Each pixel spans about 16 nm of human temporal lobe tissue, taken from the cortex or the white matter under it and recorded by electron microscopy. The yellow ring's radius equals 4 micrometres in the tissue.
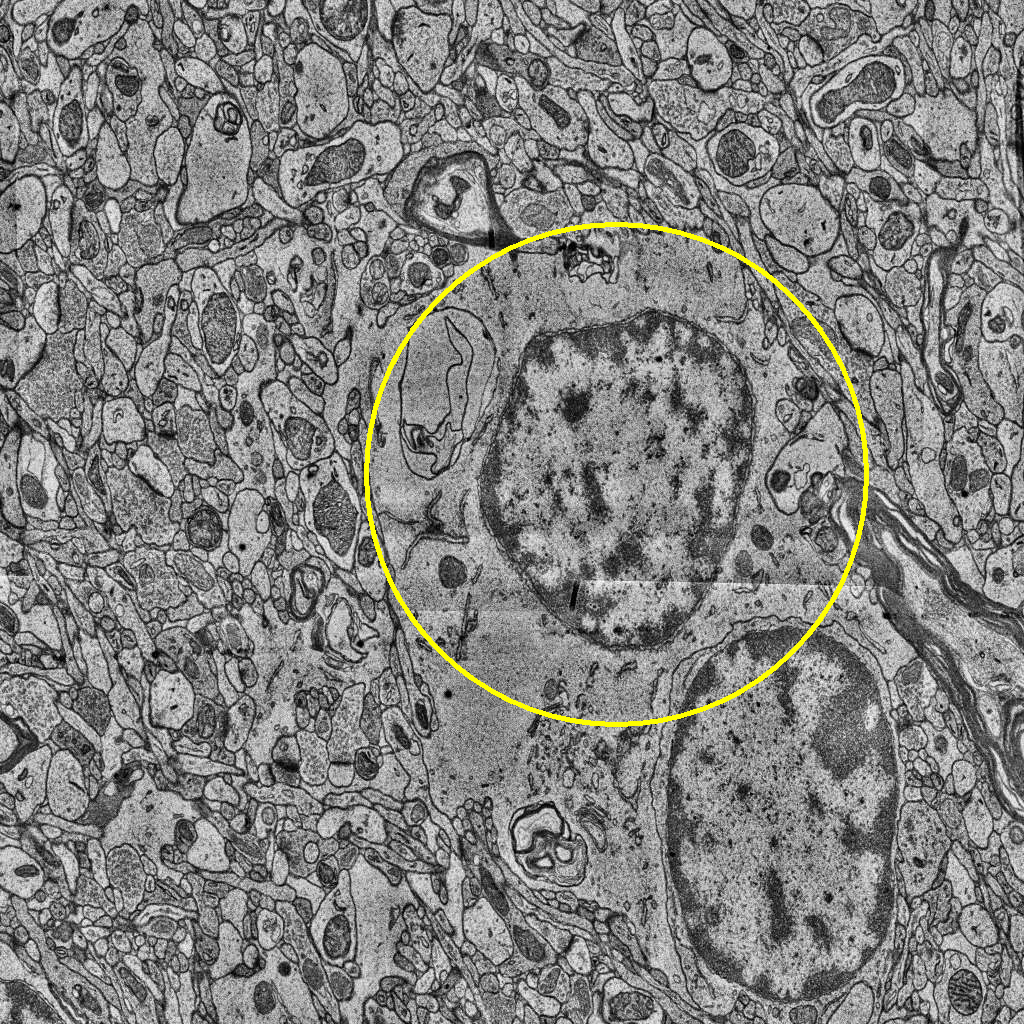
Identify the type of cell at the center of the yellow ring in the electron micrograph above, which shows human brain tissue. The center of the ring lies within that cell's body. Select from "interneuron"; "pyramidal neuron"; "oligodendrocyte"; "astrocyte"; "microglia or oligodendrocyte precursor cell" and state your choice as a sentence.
The center of the yellow ring lies in the body of an astrocyte.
